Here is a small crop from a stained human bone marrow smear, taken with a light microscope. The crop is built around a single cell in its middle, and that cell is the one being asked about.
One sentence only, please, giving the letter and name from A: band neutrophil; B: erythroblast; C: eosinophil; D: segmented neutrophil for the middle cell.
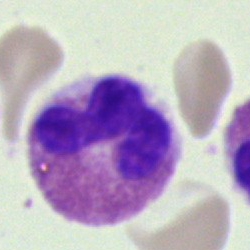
Option C is correct; the cell in the middle is an eosinophil.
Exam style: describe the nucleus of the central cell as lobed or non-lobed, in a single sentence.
Kindly observe that the nucleus forms two or more lobes.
